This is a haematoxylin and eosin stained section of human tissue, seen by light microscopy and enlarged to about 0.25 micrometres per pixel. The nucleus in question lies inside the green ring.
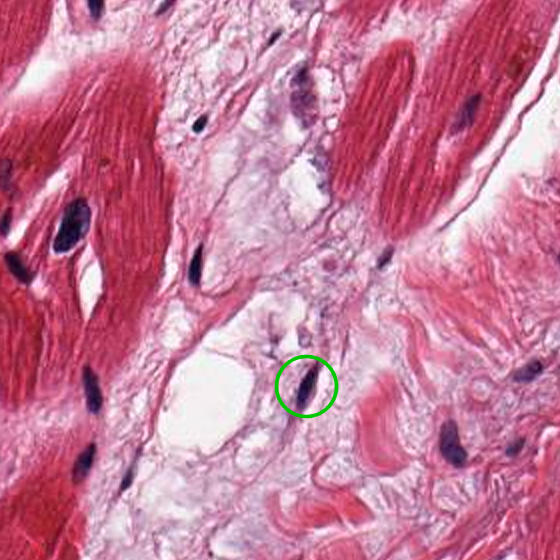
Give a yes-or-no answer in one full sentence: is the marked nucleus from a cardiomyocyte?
No, the marked nucleus is not part of a cardiomyocyte and instead belongs to a supporting cell.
